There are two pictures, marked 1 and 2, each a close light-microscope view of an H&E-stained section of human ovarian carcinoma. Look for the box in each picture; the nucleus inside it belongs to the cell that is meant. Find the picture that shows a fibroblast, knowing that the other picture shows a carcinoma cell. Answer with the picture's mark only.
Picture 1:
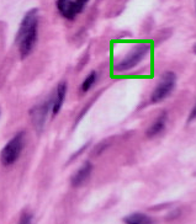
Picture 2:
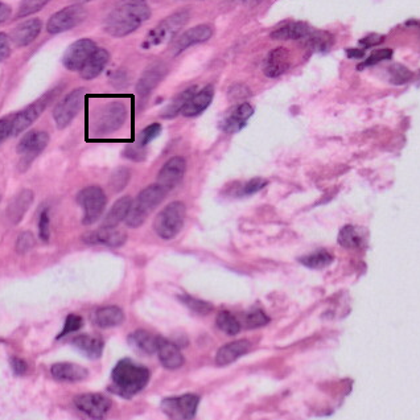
1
